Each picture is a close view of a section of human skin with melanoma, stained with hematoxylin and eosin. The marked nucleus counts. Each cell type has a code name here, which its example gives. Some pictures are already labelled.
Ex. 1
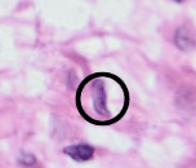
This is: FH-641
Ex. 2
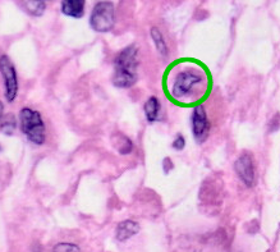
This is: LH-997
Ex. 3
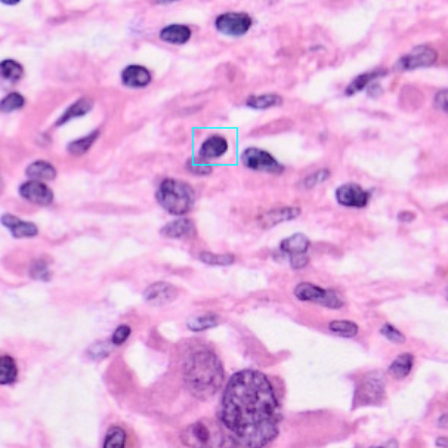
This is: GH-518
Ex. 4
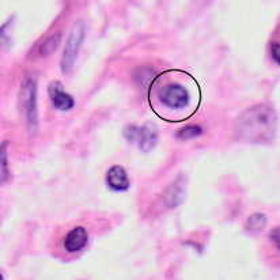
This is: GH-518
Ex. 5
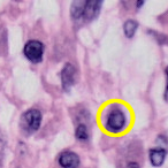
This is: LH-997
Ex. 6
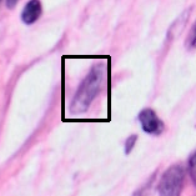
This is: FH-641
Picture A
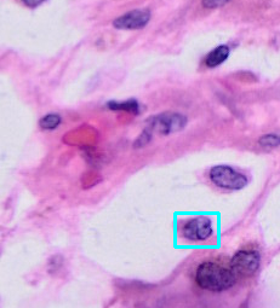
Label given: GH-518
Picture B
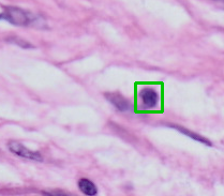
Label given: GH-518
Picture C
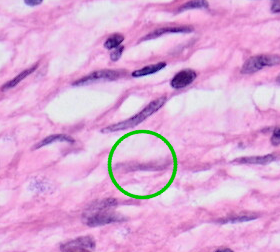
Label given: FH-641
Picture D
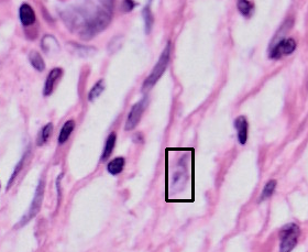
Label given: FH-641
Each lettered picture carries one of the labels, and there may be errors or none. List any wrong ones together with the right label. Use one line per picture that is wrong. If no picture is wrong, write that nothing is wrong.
A: not GH-518 but LH-997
